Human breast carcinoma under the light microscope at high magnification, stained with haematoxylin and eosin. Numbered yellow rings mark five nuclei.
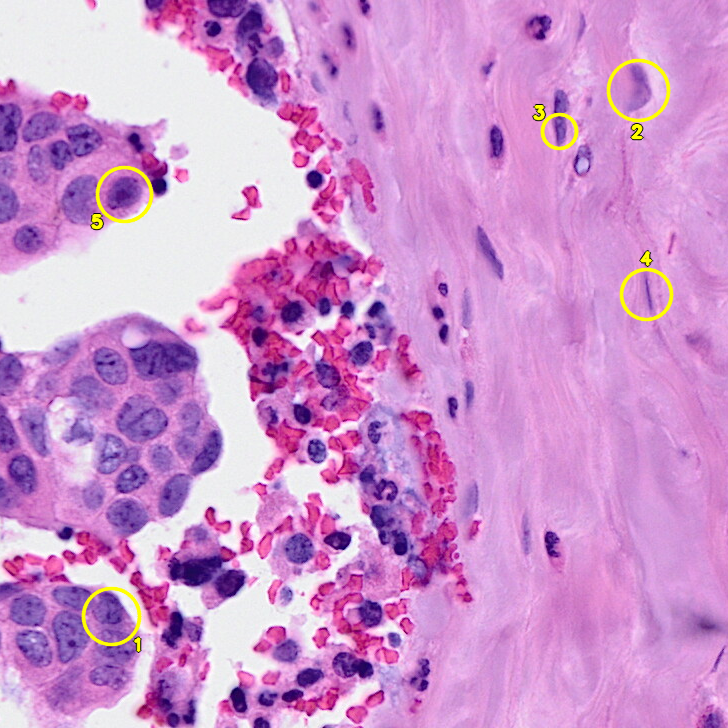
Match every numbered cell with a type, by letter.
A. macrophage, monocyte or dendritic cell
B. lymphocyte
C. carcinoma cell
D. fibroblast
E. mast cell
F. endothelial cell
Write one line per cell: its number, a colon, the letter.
1: C
2: D
3: D
4: D
5: C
